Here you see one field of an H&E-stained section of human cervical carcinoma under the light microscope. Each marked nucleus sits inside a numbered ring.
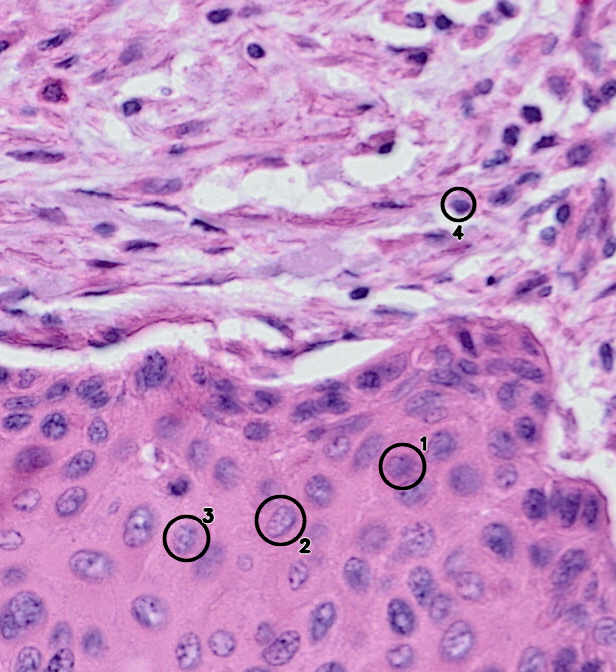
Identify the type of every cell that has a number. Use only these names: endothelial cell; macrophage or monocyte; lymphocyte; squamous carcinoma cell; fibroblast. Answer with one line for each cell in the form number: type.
1: squamous carcinoma cell
2: squamous carcinoma cell
3: squamous carcinoma cell
4: lymphocyte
